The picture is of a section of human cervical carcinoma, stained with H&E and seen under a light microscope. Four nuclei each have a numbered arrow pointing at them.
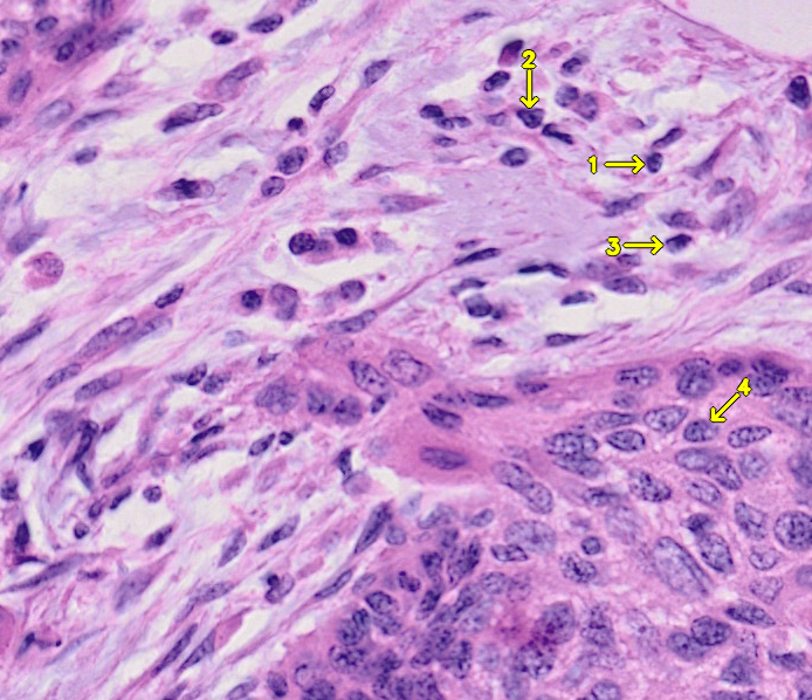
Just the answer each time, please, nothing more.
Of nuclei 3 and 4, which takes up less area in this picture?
3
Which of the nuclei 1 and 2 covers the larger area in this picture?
2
